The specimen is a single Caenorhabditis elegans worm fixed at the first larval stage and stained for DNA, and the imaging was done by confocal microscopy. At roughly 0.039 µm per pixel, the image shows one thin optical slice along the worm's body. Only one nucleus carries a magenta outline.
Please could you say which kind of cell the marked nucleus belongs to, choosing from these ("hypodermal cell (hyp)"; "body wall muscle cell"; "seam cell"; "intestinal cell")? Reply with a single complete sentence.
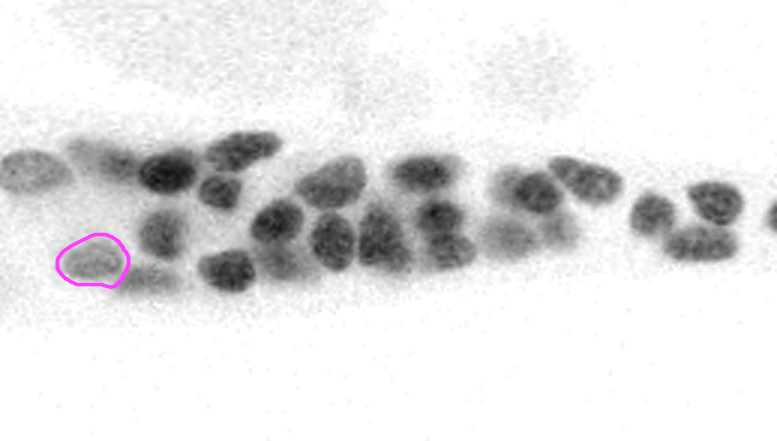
What is marked is the nucleus of an intestinal cell.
